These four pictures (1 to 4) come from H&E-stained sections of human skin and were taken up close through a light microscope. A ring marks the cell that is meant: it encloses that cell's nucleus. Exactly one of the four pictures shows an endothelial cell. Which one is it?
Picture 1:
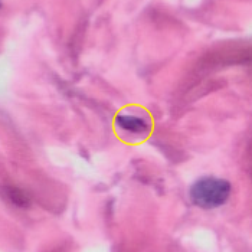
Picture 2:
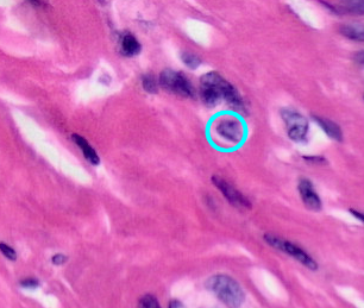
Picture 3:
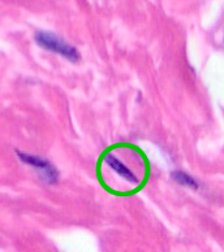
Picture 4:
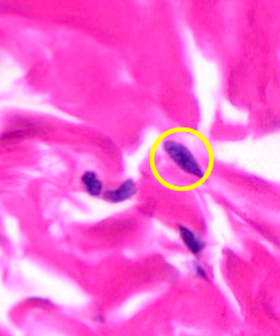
2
